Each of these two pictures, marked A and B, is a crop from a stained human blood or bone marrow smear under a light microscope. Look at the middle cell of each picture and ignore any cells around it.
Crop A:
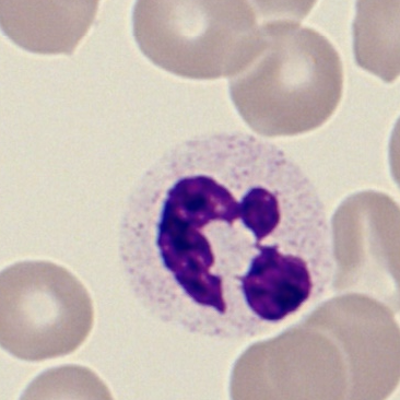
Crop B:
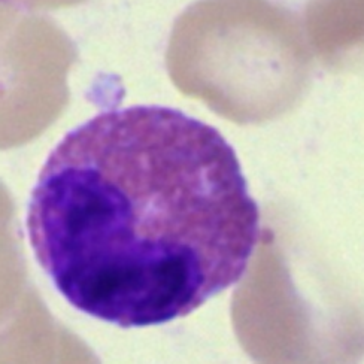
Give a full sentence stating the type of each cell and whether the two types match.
No, a segmented neutrophil is centred in crop A, and an eosinophil is centred in crop B.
